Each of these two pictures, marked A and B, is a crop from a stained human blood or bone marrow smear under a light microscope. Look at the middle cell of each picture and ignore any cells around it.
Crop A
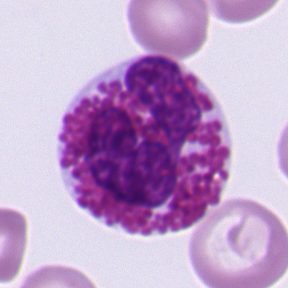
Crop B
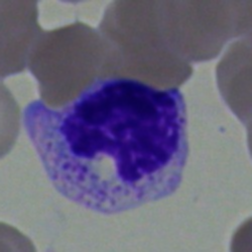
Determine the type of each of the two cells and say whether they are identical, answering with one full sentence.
No, crop A has an eosinophil at its center, and crop B has a myelocyte.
